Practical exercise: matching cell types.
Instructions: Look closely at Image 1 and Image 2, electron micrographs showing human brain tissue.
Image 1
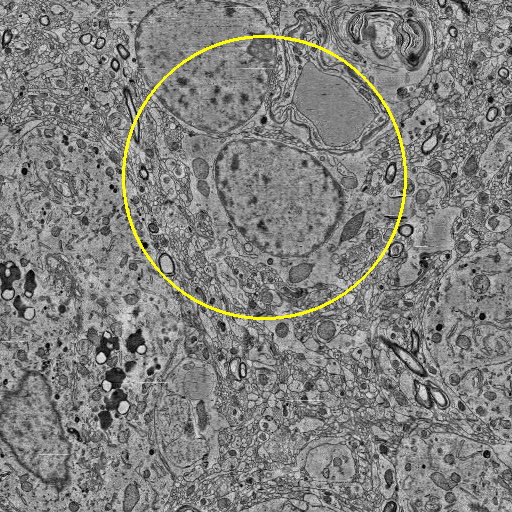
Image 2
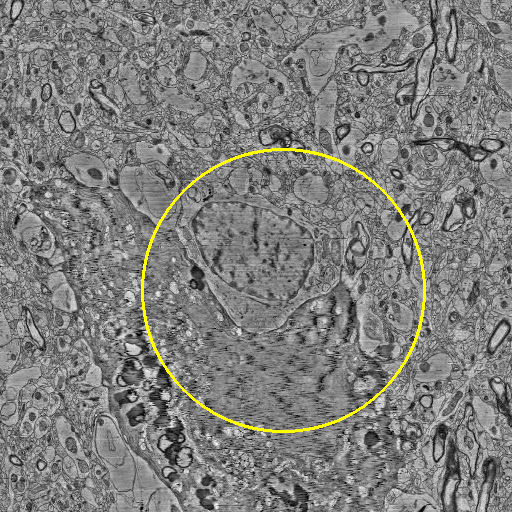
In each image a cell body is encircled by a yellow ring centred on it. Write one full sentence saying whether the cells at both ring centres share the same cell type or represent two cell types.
Across Image 1 and Image 2, the cells at the ring centres share the same cell type.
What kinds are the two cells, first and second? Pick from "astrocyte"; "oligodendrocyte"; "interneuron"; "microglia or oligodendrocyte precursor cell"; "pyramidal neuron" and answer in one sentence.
The first and the second cell are each a microglial cell or oligodendrocyte precursor cell.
